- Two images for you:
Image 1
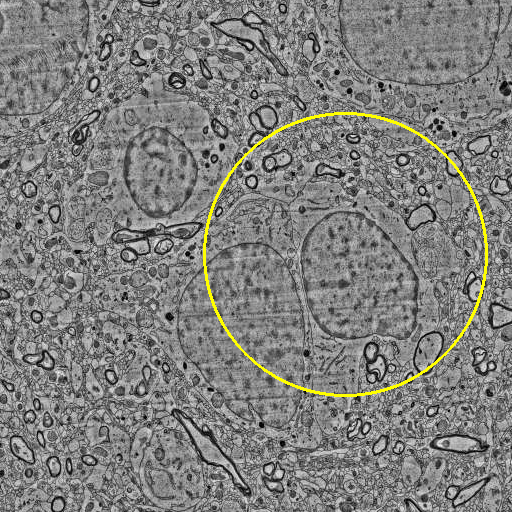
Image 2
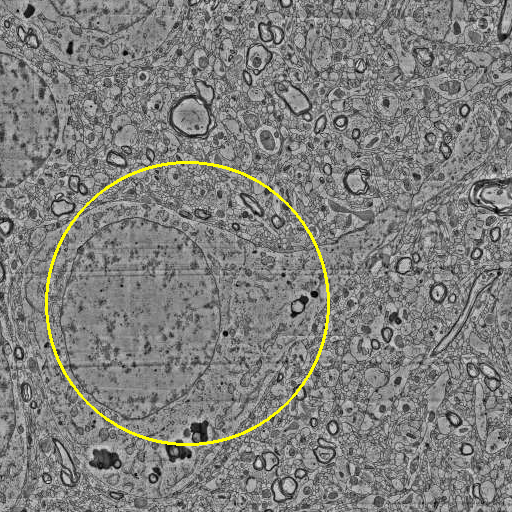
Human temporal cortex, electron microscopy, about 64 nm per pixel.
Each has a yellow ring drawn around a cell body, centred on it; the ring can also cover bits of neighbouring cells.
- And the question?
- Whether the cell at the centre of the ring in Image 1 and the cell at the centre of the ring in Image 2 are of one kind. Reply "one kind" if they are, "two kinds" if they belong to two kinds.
two kinds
